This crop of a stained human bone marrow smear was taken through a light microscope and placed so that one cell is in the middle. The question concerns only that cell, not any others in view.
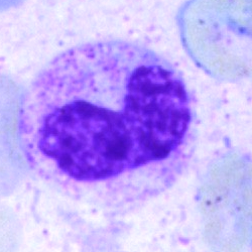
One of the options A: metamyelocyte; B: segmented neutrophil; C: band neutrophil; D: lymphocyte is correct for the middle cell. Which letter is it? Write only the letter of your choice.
C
